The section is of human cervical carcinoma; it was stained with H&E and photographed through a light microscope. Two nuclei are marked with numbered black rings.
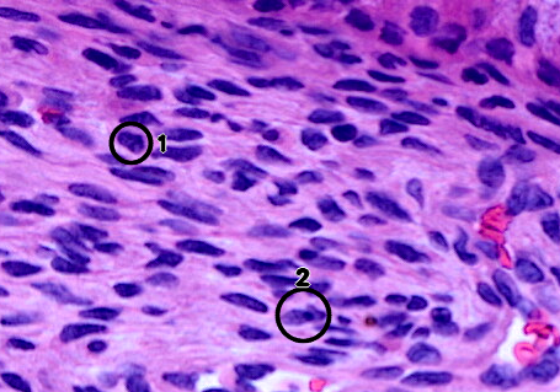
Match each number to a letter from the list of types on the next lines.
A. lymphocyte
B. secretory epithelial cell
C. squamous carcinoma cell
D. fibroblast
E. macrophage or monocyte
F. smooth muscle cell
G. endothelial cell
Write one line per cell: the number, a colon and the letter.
1: A
2: D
